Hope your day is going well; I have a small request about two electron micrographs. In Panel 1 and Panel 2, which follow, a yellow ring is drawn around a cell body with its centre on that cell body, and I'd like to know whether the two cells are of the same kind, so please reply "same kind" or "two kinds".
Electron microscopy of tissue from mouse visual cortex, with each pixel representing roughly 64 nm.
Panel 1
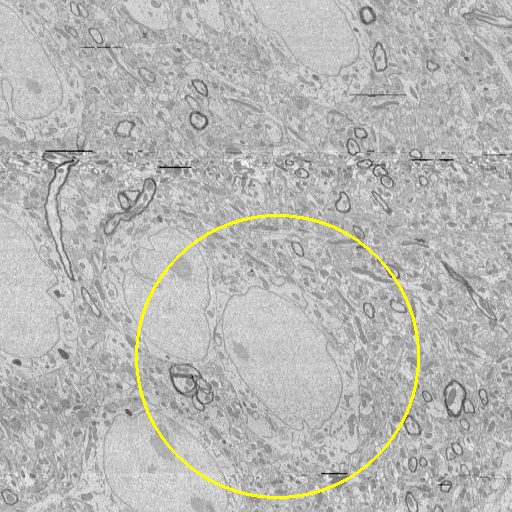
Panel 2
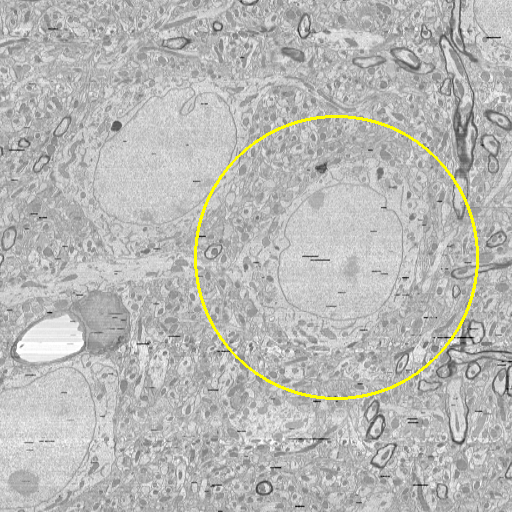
same kind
